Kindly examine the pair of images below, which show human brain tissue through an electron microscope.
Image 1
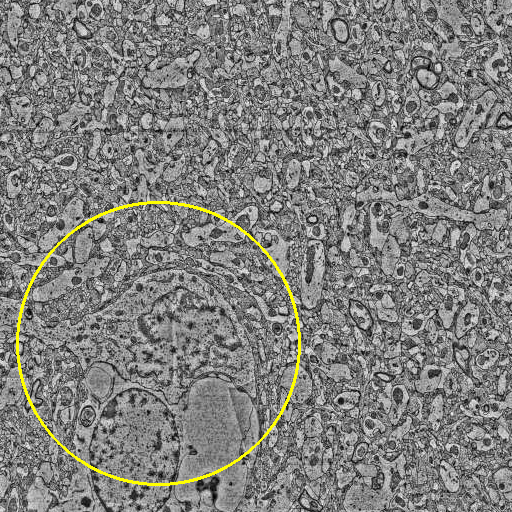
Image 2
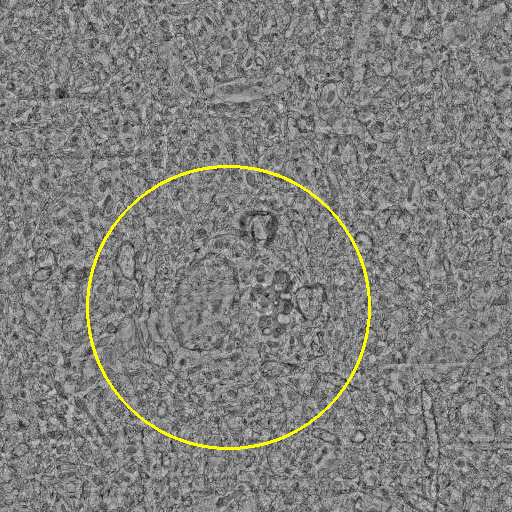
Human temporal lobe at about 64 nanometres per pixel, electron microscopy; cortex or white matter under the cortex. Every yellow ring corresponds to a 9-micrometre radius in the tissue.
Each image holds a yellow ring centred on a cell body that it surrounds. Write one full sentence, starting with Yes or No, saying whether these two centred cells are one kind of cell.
Yes, both cells at the centres of the yellow rings belong to one kind of cell.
